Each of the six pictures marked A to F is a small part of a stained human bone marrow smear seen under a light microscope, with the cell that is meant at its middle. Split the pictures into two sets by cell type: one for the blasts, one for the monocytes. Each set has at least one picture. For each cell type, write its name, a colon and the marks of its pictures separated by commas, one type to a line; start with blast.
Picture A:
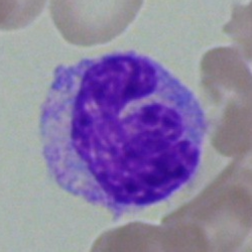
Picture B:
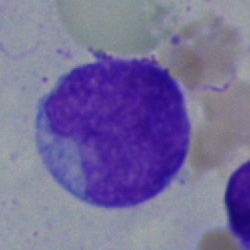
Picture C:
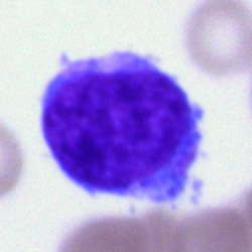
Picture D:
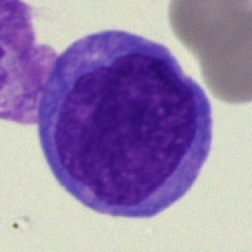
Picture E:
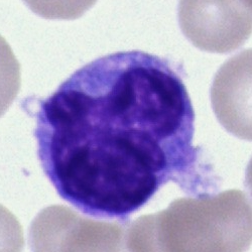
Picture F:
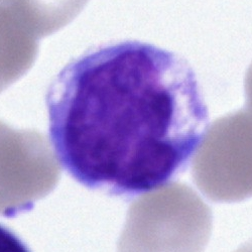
blast: B, C, D
monocyte: A, E, F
